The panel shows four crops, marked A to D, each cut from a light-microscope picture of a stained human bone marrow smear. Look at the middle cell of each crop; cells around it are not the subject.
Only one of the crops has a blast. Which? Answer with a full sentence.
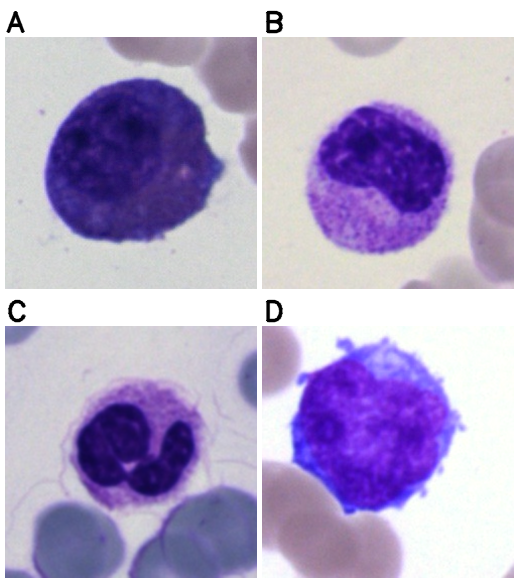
The cell identified as a blast is the one in crop D.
